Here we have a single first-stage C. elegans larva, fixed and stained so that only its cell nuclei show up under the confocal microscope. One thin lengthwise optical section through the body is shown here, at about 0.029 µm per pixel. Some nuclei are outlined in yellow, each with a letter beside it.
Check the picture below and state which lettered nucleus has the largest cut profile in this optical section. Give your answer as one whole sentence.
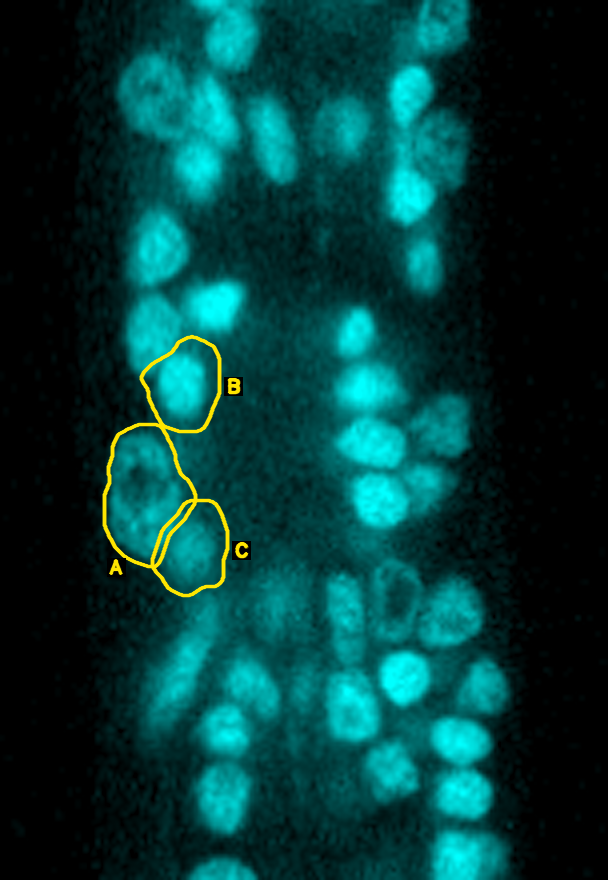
Of the marked nuclei, A is the biggest in this section.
